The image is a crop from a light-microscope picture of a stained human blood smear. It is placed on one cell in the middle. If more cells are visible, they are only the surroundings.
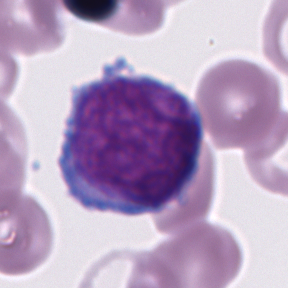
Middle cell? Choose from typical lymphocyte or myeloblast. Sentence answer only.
As for the central cell, it is a myeloblast.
